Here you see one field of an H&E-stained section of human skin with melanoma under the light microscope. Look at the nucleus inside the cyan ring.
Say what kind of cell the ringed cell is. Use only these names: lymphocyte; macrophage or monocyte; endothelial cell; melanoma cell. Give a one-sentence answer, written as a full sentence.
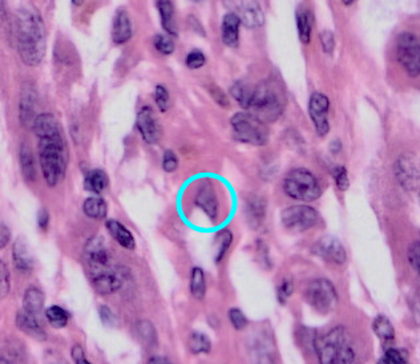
Among the cells in this section, the ringed cell is an endothelial cell.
